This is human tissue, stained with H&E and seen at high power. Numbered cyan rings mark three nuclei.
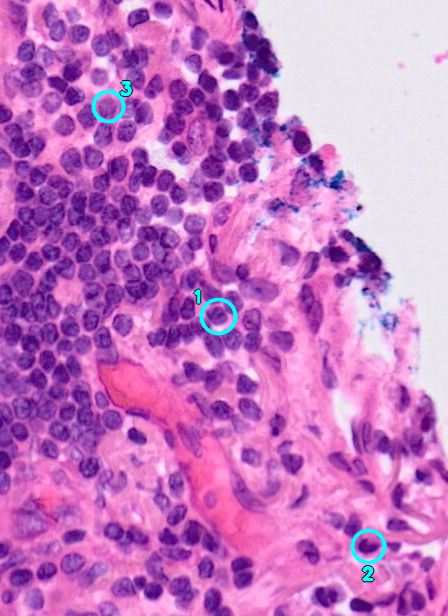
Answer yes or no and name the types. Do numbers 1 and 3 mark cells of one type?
Yes, both are lymphocytes.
